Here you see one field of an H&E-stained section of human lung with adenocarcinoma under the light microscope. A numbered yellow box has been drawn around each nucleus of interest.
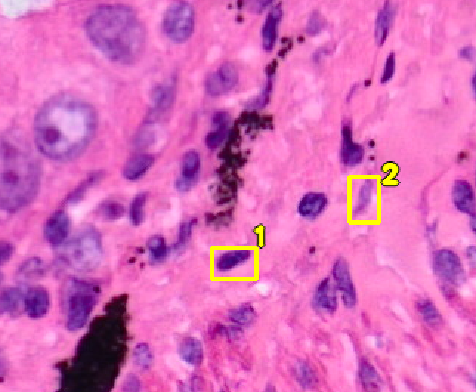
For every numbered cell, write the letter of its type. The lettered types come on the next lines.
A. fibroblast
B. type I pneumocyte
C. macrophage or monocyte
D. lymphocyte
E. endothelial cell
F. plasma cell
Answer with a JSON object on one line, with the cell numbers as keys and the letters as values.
{"1": "D", "2": "A"}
